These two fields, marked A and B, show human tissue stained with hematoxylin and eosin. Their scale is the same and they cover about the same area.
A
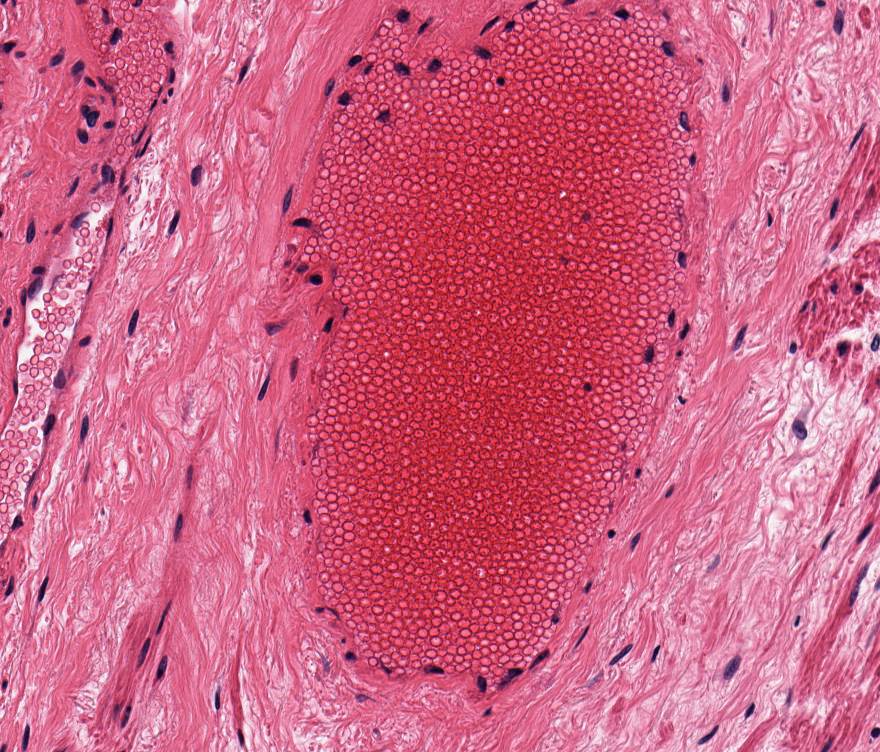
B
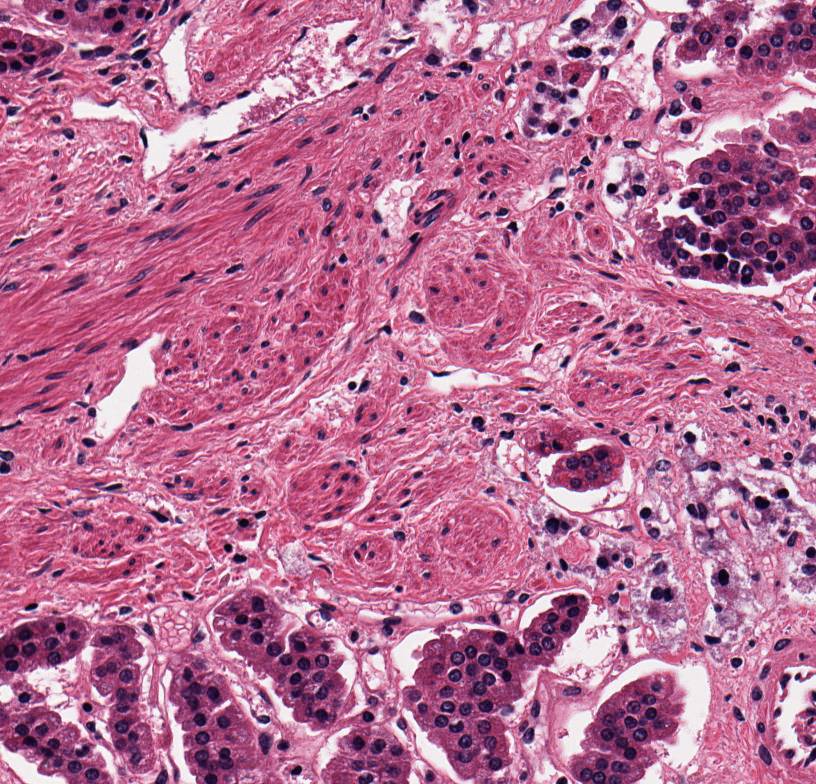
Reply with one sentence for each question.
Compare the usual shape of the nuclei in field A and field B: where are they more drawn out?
It is field A whose nuclei are the more elongated.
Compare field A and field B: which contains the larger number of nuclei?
Field B holds more nuclei than field A.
